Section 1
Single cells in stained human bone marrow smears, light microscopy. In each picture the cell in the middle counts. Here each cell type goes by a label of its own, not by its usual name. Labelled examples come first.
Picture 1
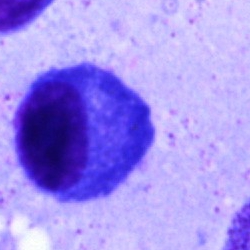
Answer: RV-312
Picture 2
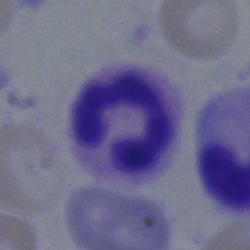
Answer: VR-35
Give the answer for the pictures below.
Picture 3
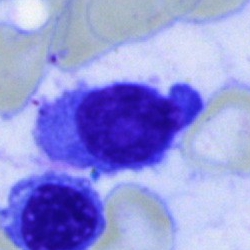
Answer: RV-312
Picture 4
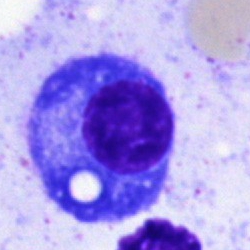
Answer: RV-312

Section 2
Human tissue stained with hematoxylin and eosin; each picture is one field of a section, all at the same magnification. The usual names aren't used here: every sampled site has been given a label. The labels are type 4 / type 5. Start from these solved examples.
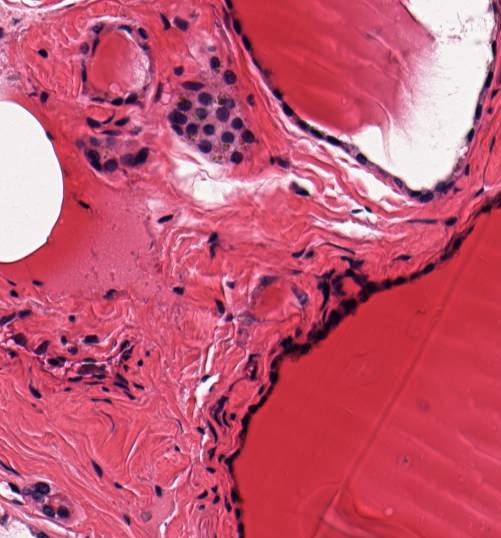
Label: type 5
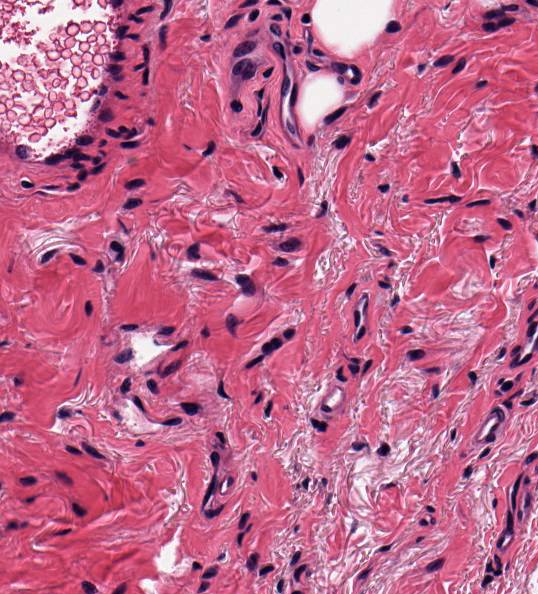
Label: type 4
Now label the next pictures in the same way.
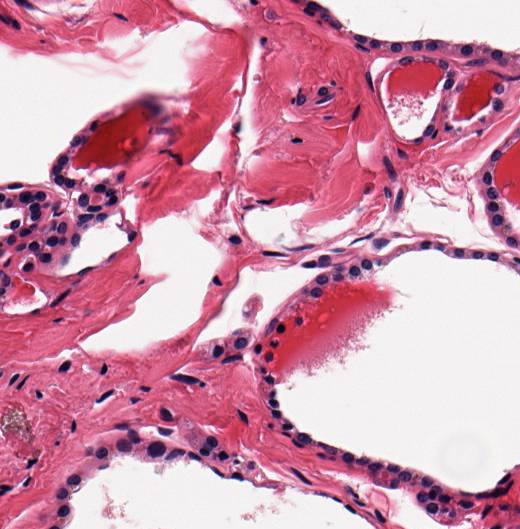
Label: type 5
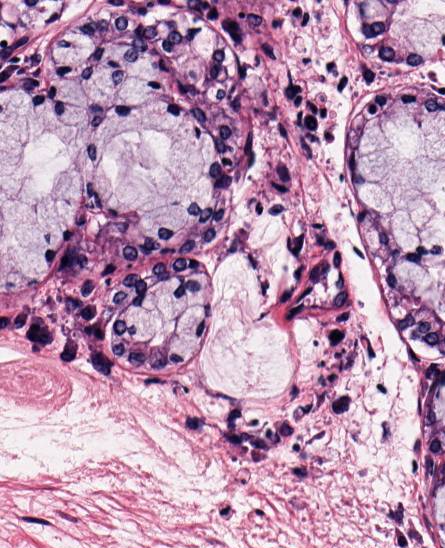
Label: type 4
